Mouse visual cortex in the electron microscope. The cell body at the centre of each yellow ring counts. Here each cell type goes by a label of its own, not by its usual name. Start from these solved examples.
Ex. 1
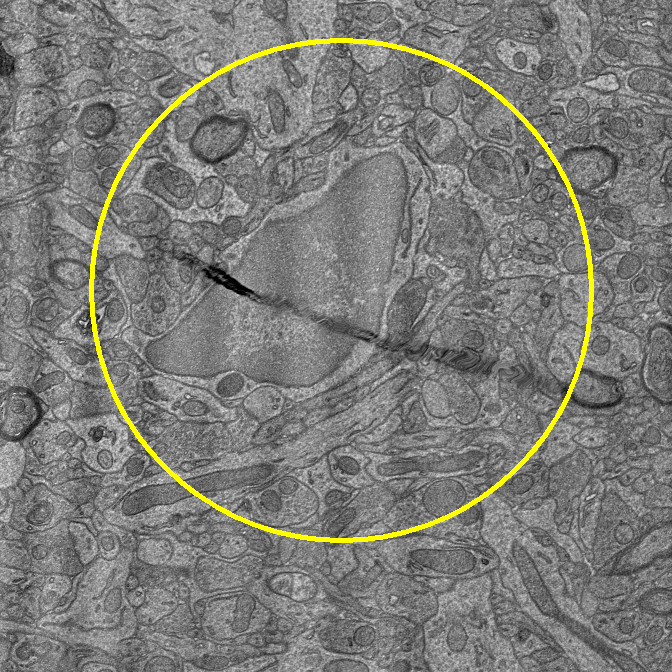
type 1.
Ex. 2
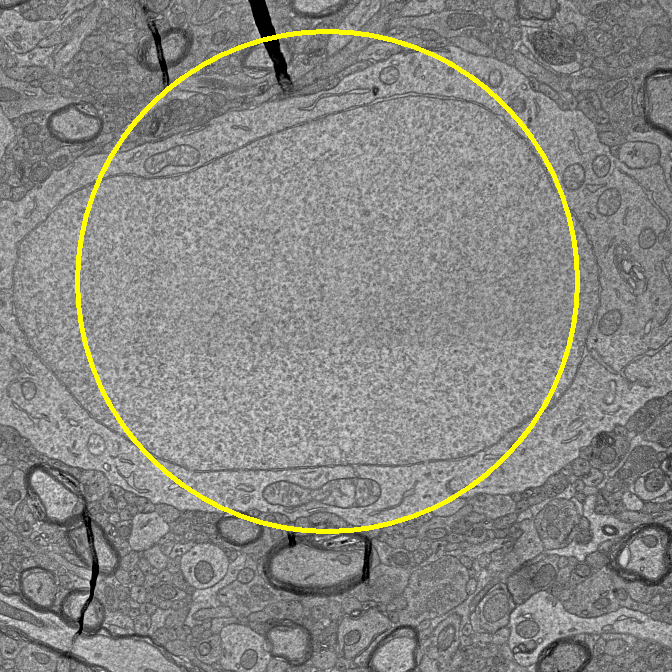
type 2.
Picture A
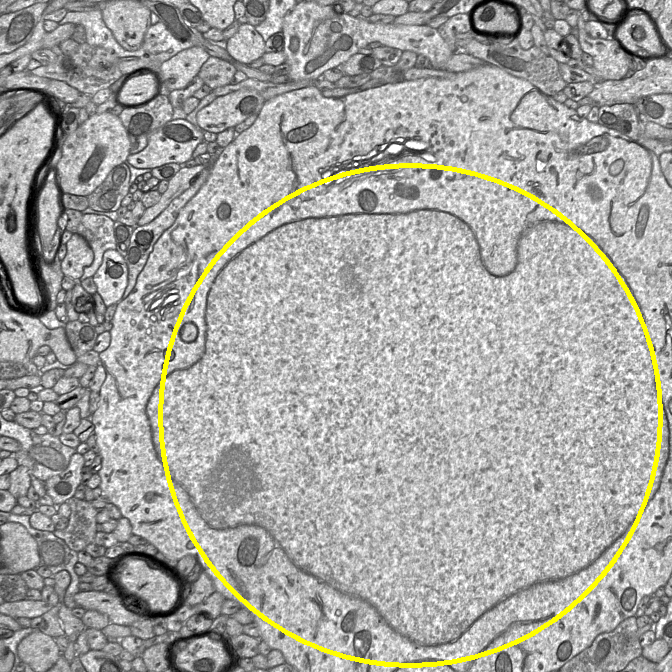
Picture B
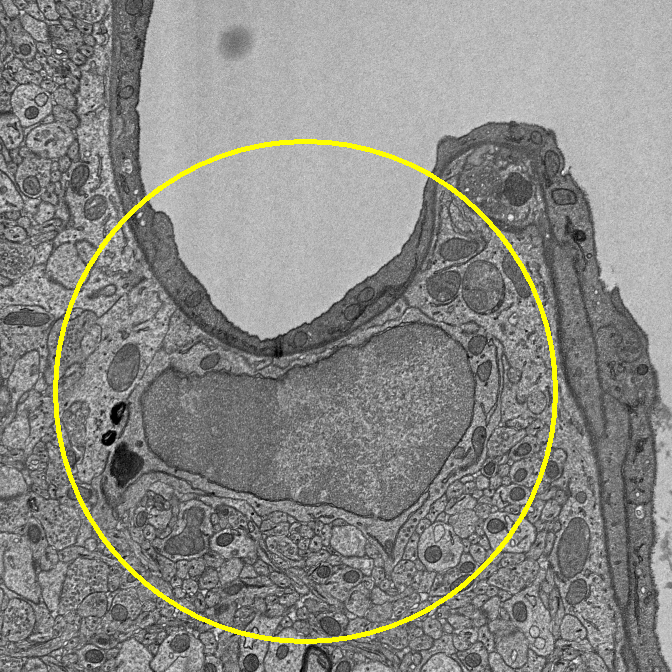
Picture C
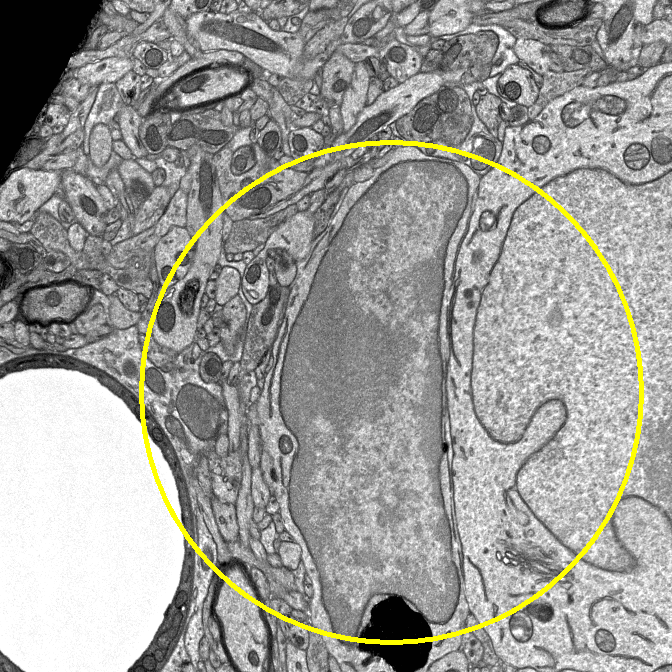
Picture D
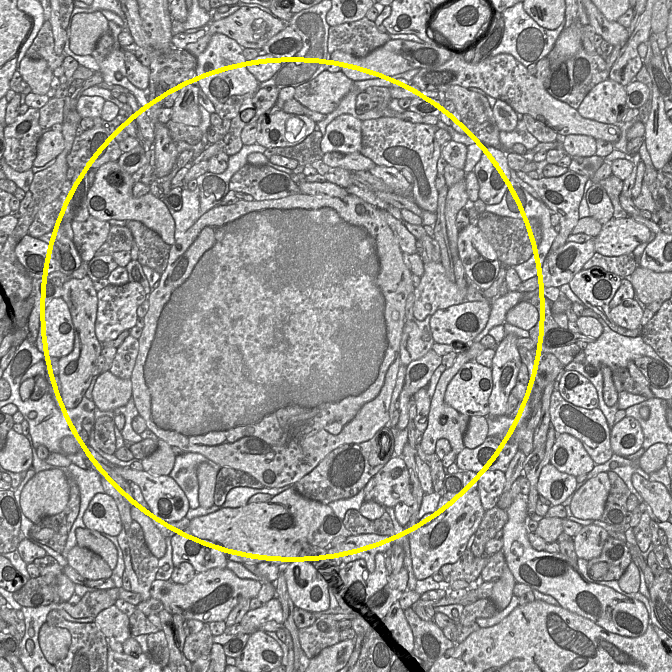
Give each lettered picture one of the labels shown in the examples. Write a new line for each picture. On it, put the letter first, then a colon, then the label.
A: type 2.
B: type 1.
C: type 1.
D: type 1.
